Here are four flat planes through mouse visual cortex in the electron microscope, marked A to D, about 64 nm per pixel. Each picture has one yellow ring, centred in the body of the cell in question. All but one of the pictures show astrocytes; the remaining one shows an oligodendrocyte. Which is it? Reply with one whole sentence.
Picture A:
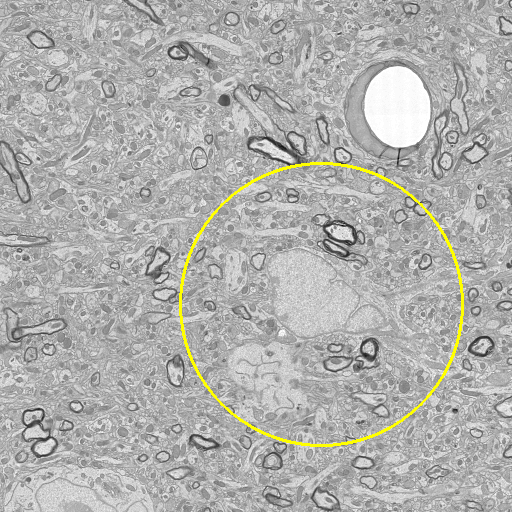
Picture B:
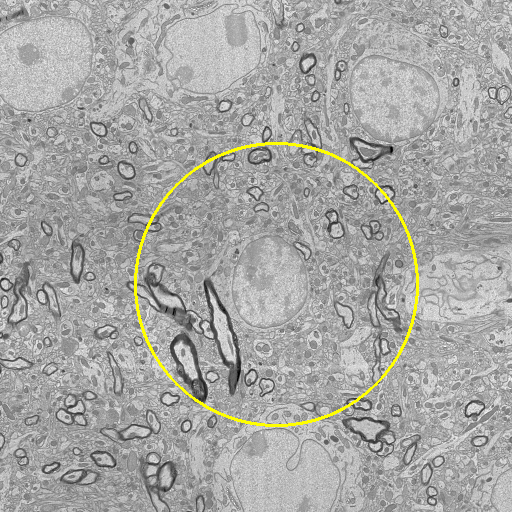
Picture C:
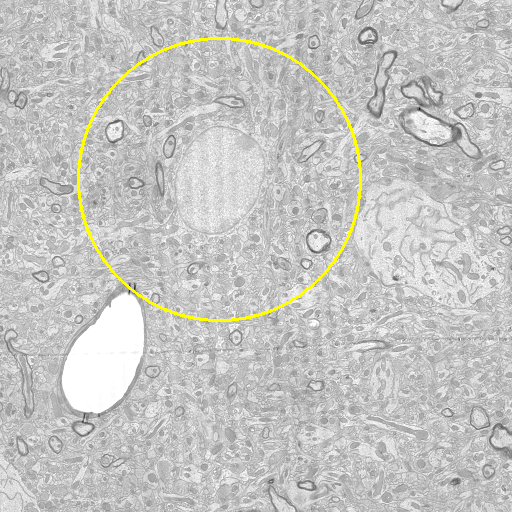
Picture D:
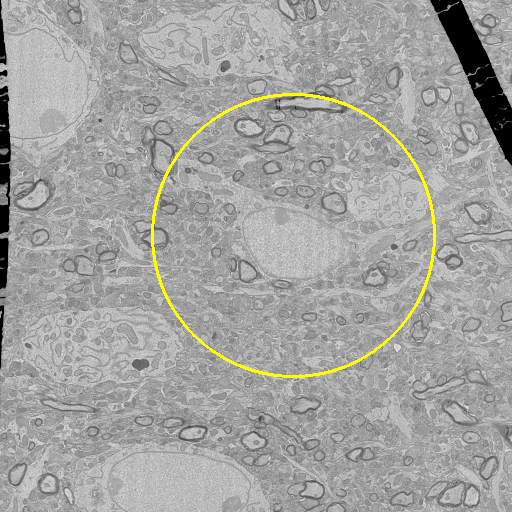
It is picture B that shows the oligodendrocyte.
